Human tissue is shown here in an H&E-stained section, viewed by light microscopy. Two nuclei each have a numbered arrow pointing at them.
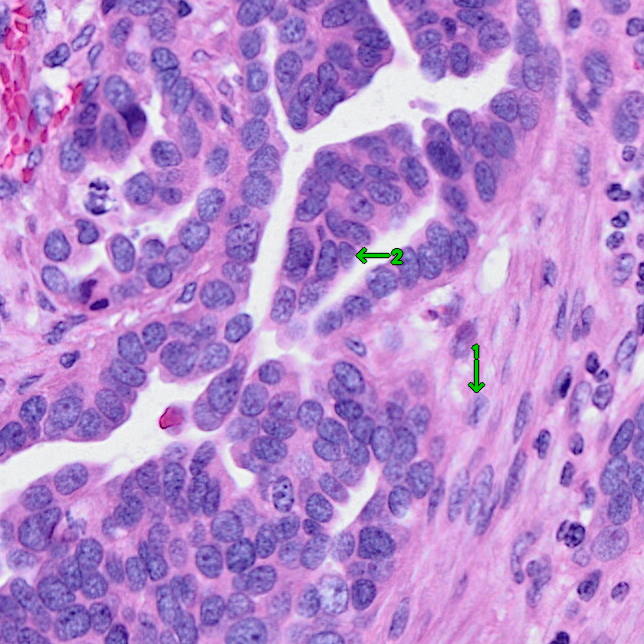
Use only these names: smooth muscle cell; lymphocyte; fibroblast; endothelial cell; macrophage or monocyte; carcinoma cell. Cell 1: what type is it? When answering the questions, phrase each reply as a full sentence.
The cell numbered 1 has been identified as a fibroblast.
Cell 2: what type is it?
The correct answer for cell 2 is a carcinoma cell.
